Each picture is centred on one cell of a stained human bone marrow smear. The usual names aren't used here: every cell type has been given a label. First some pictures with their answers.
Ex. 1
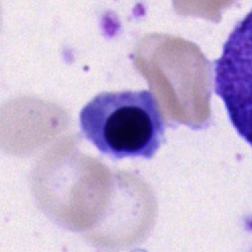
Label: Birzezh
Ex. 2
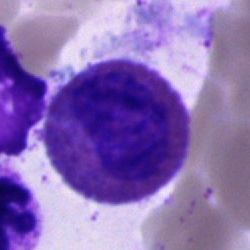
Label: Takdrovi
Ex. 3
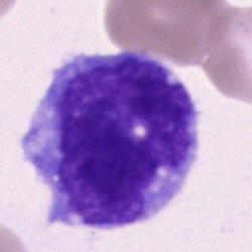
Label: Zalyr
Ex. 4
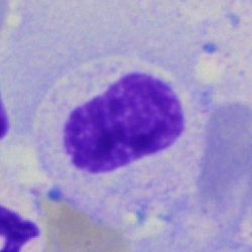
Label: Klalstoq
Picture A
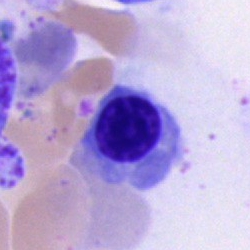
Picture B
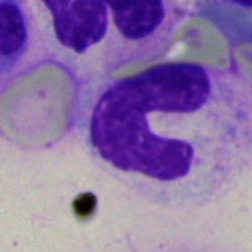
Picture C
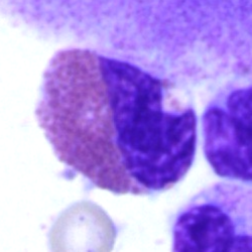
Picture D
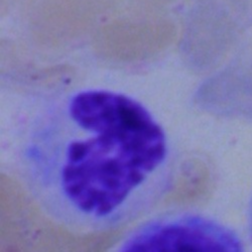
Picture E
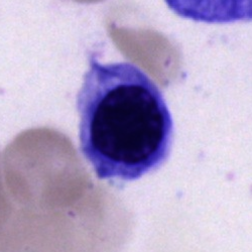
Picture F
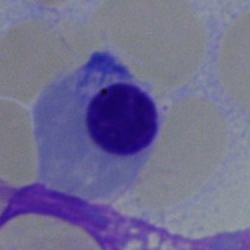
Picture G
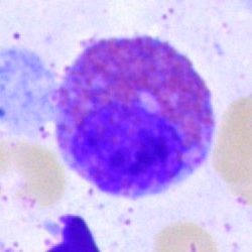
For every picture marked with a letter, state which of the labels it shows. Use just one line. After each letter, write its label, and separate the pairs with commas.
A Birzezh, B Klalstoq, C Takdrovi, D Klalstoq, E Birzezh, F Birzezh, G Takdrovi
